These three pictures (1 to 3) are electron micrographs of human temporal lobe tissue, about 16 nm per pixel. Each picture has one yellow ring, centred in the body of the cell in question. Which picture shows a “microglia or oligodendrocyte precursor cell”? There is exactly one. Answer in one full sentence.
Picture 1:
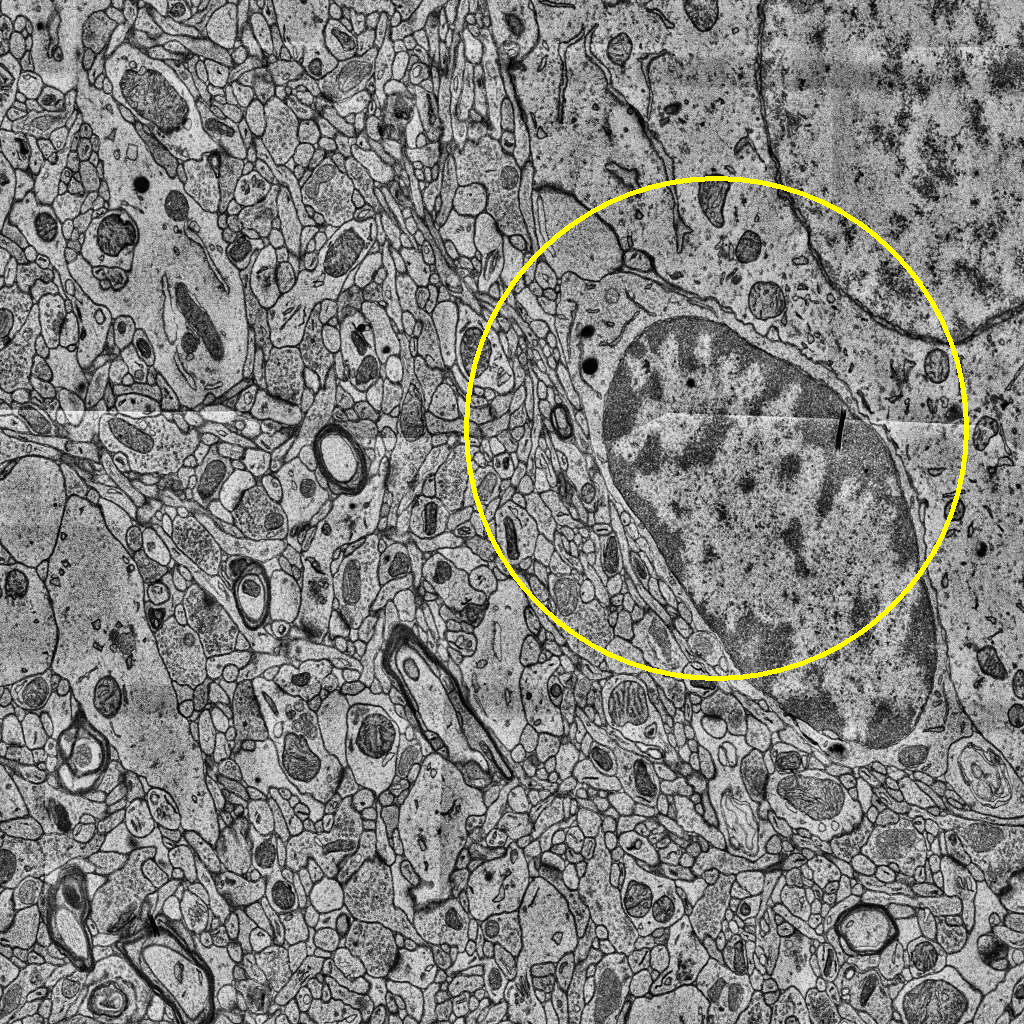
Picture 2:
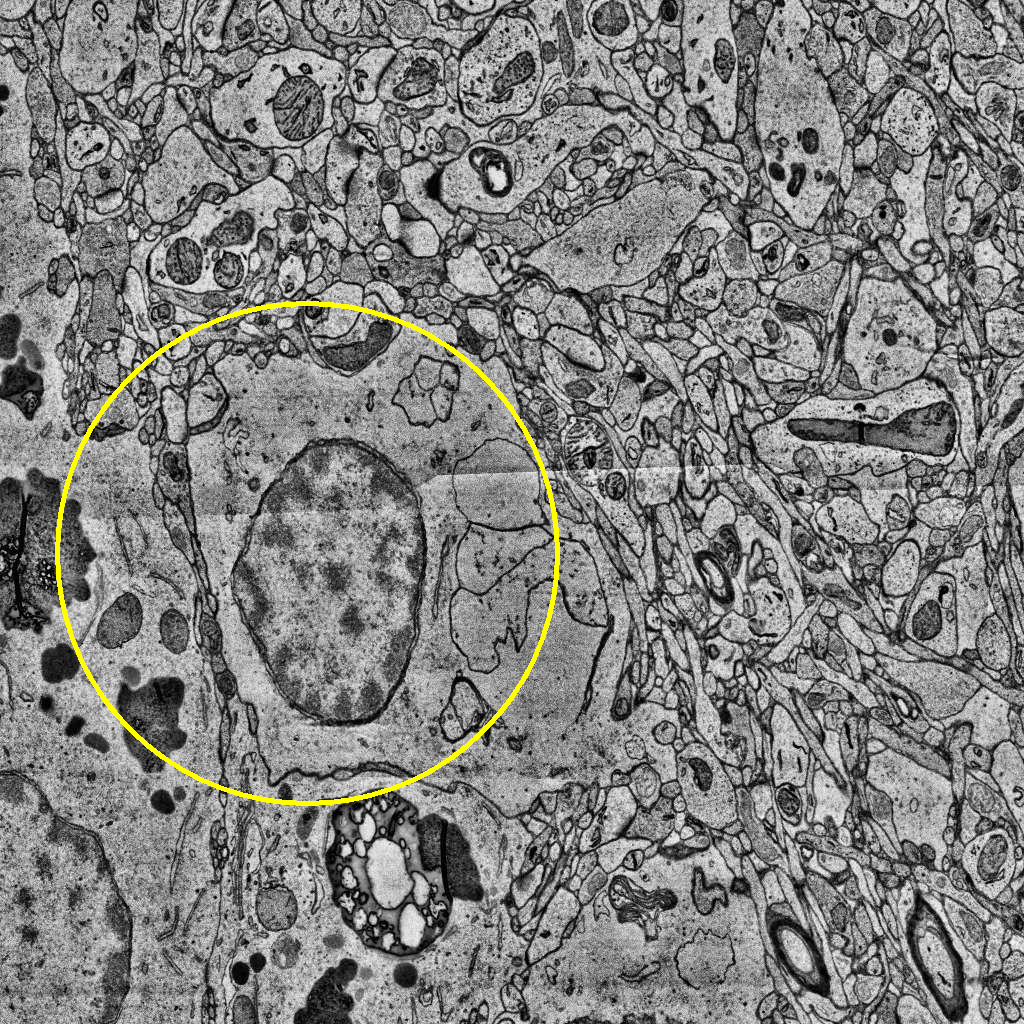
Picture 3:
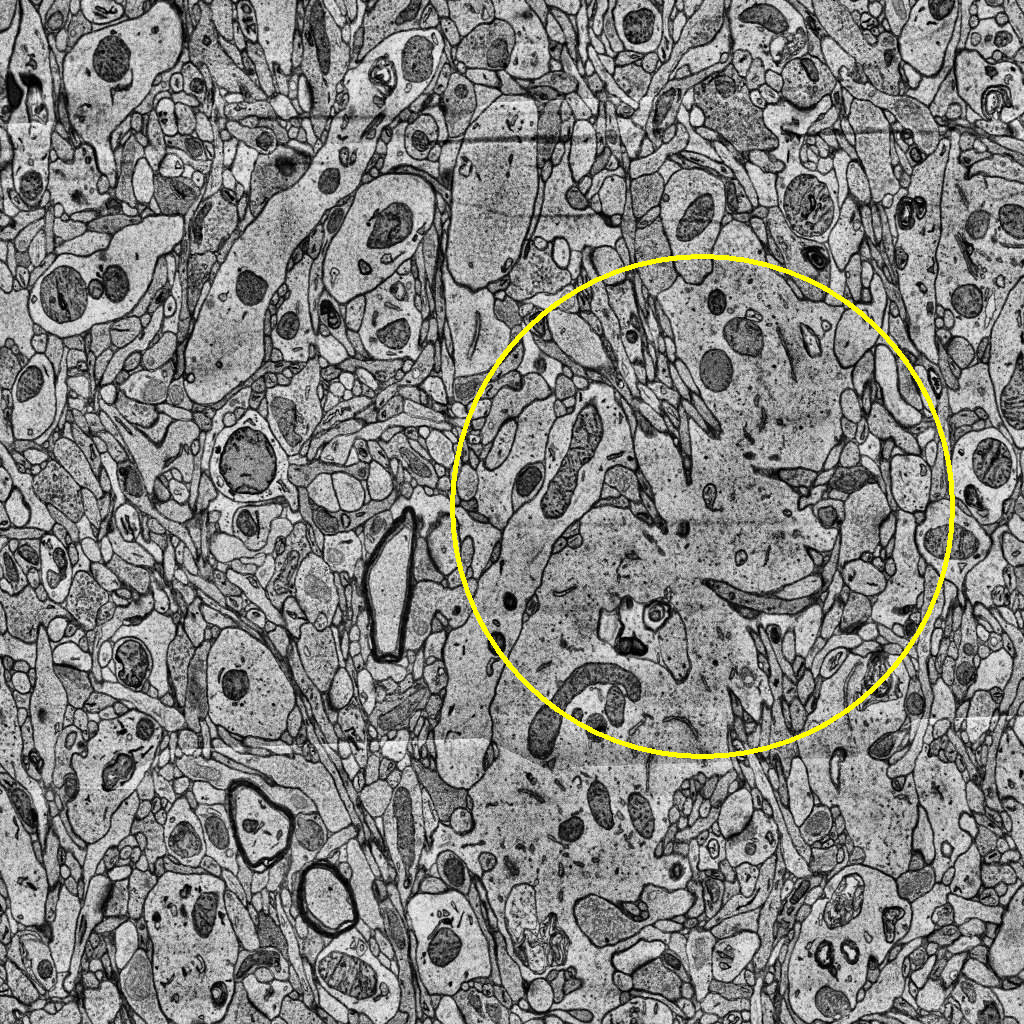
Picture 1 shows the “microglia or oligodendrocyte precursor cell”.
